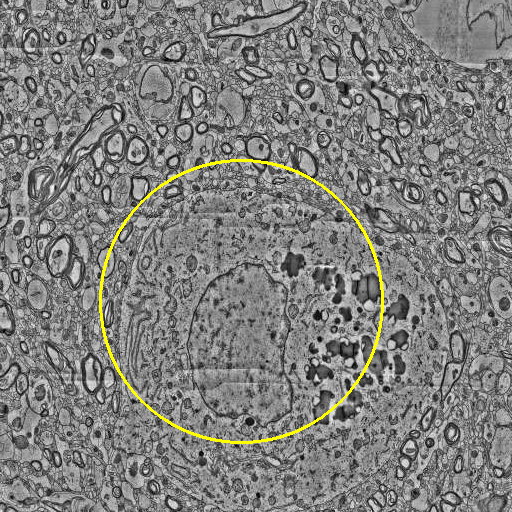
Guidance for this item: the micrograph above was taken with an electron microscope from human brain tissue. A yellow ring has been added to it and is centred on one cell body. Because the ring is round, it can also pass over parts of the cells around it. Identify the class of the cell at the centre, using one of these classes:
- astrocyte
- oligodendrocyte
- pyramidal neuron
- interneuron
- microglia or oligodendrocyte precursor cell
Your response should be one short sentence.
The ring surrounds the body of a pyramidal neuron.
